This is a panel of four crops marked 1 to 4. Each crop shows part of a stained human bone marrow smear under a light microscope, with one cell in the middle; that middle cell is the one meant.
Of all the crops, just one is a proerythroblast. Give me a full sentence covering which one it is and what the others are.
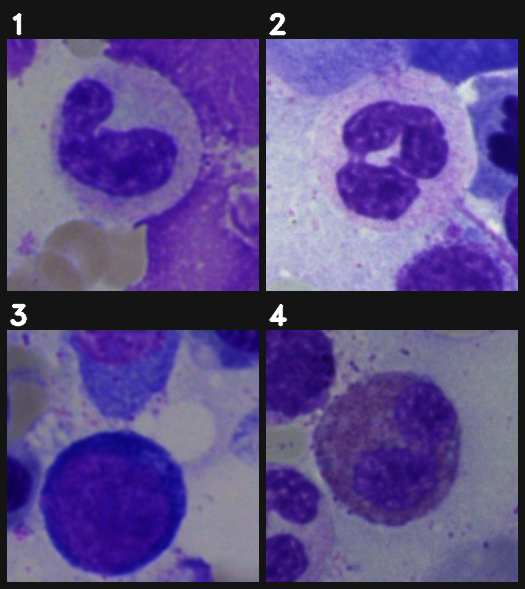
Shown in crop 3 is a proerythroblast, whereas crop 1 is a band neutrophil, crop 2 is a segmented neutrophil and crop 4 is an eosinophil.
